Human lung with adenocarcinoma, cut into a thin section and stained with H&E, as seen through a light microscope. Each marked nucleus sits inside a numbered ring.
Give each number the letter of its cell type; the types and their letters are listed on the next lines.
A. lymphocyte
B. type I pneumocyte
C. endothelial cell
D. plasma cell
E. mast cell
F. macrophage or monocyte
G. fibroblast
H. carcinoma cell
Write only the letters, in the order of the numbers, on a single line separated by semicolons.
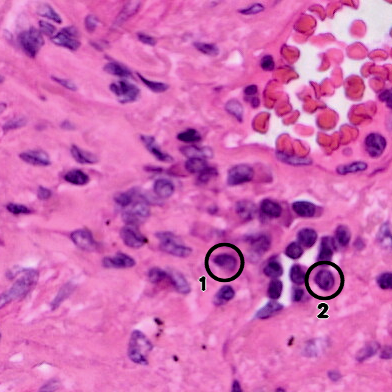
D; A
